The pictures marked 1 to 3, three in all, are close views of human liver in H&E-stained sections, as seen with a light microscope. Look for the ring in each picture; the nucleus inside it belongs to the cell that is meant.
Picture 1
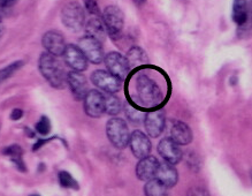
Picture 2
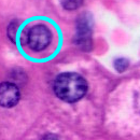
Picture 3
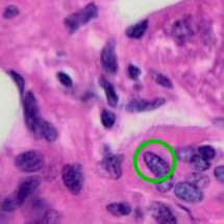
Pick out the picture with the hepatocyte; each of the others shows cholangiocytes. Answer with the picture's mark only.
2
